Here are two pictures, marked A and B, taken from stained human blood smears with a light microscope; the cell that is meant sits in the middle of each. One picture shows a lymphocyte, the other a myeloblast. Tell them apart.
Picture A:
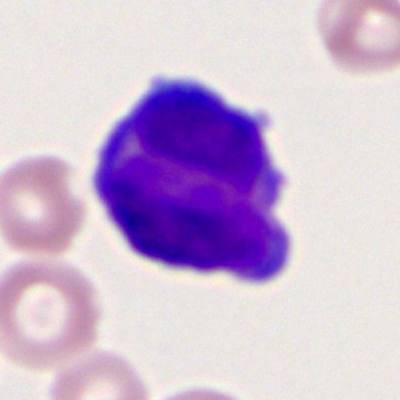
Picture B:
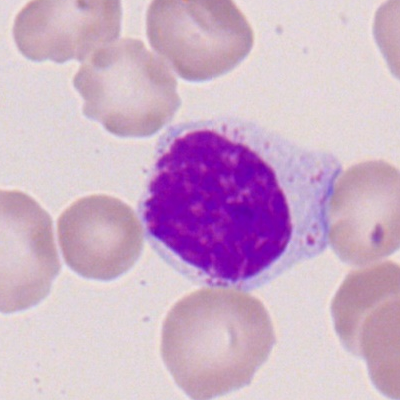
A: myeloblast
B: lymphocyte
